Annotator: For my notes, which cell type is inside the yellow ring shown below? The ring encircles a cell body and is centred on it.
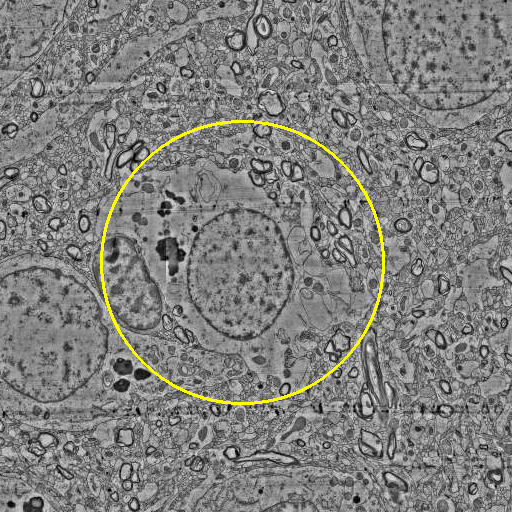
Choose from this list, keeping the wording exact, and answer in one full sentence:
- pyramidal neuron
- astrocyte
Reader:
At the centre of the yellow ring there is an astrocyte, as shown in the picture.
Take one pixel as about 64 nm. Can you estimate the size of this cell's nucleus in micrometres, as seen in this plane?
In this plane the nucleus spans approximately 8 by 7 micrometers.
